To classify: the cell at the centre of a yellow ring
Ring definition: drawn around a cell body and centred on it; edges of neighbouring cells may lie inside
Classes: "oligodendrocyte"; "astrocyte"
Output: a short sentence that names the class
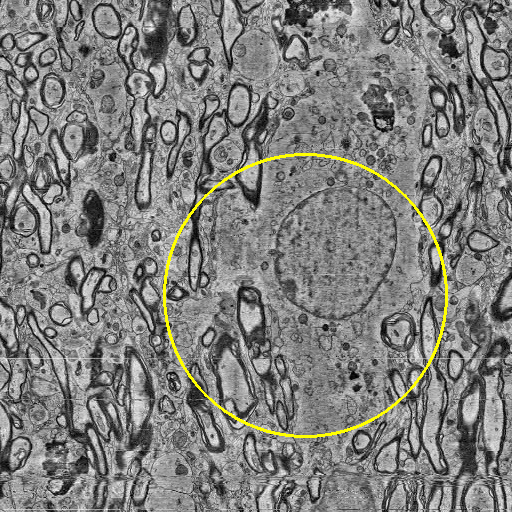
The ringed cell is an astrocyte.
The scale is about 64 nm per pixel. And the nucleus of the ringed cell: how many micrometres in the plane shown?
Approximately 9 micrometres long and 7 micrometres wide, in this plane.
